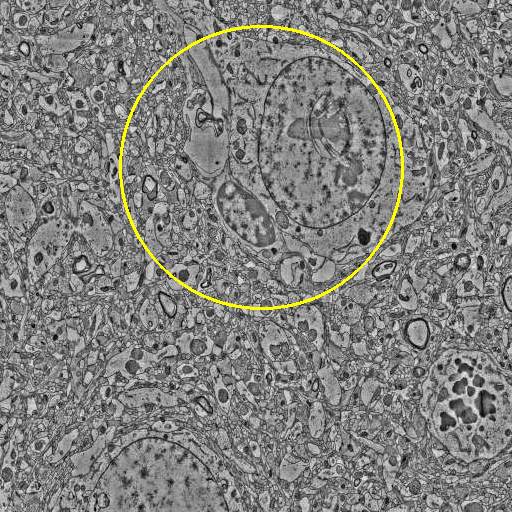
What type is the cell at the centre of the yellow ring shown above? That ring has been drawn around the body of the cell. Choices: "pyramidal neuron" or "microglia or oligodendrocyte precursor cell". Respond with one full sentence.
My answer is that a microglial cell or oligodendrocyte precursor cell lies at the centre of the yellow ring above.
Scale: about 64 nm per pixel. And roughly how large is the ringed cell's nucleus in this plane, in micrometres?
In this plane, the nucleus of the cell at the centre of the ring measures about 11 by 8 micrometres.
